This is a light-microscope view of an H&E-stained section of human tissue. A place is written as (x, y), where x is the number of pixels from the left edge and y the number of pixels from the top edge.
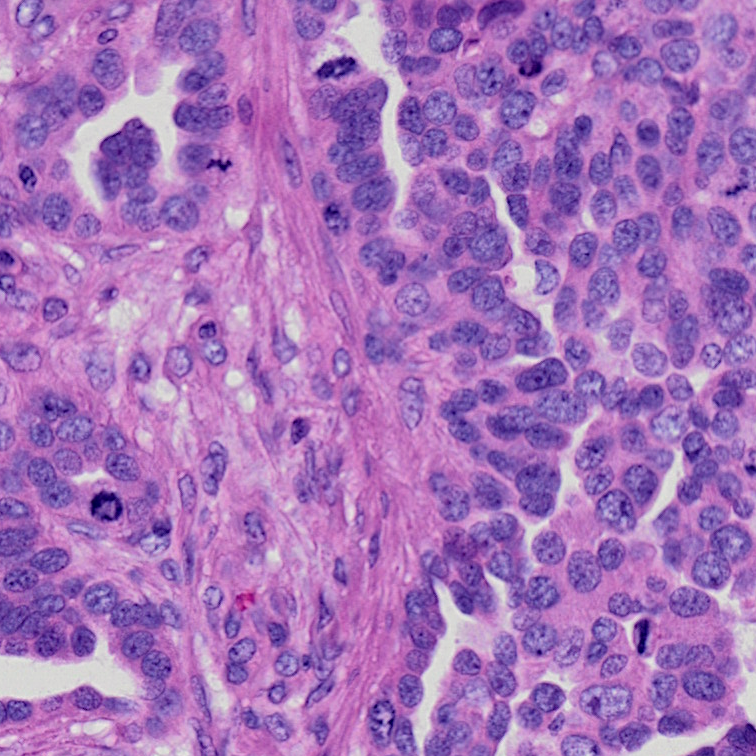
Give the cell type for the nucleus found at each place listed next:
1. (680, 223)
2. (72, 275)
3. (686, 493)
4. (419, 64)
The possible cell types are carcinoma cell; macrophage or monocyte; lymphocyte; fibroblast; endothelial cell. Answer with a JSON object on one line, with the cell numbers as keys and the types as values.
{"1": "carcinoma cell", "2": "fibroblast", "3": "carcinoma cell", "4": "carcinoma cell"}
